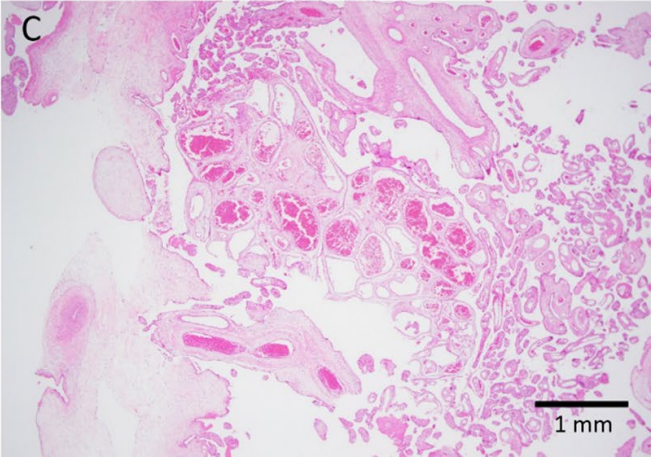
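This low-power view of placental tissue shows a hemangioma-like collection of abnormal blood vessels. In the centre, many closely packed, dilated vascular channels are filled with deep red blood cells. Thin pale septa separate these channels. Around the cluster lie pale, large villi with vessels of their own, and to the right many small villi stain more deeply. The open white spaces between the villi appear empty.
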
